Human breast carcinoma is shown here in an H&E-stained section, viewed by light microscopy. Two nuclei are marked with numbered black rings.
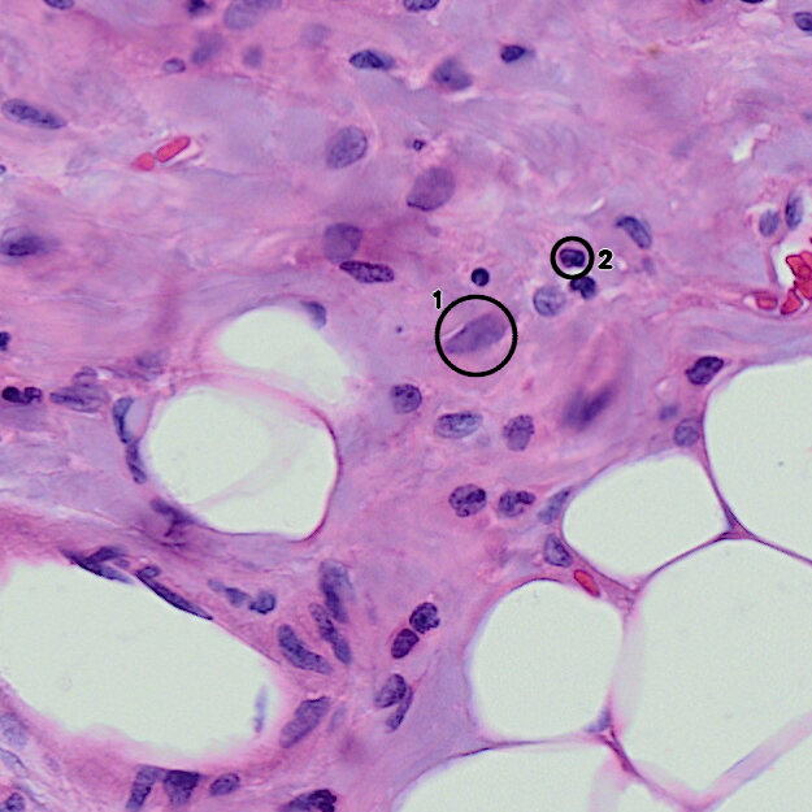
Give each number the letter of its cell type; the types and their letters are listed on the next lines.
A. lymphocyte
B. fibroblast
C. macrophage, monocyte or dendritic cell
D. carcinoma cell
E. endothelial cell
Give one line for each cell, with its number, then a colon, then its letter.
1: B
2: A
